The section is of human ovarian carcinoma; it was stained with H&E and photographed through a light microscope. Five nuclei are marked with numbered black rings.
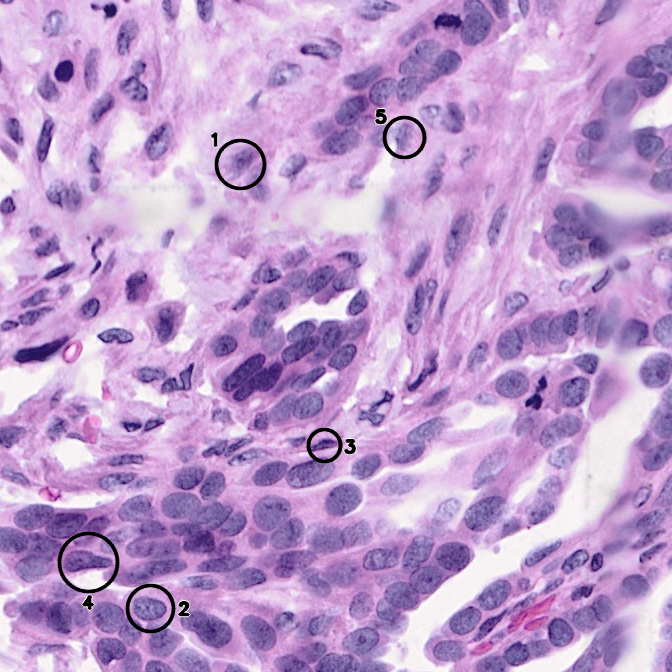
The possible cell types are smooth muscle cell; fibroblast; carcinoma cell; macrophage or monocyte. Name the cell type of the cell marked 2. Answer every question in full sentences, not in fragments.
The marked cell bearing number 2 is a carcinoma cell.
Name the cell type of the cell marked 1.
In this section, the cell tagged 1 is a fibroblast.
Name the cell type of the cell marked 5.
Number 5 is placed on a fibroblast here.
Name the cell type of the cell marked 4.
The cell tagged with 4 in this tissue section is a carcinoma cell.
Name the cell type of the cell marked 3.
Here the cell numbered 3 is a fibroblast.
